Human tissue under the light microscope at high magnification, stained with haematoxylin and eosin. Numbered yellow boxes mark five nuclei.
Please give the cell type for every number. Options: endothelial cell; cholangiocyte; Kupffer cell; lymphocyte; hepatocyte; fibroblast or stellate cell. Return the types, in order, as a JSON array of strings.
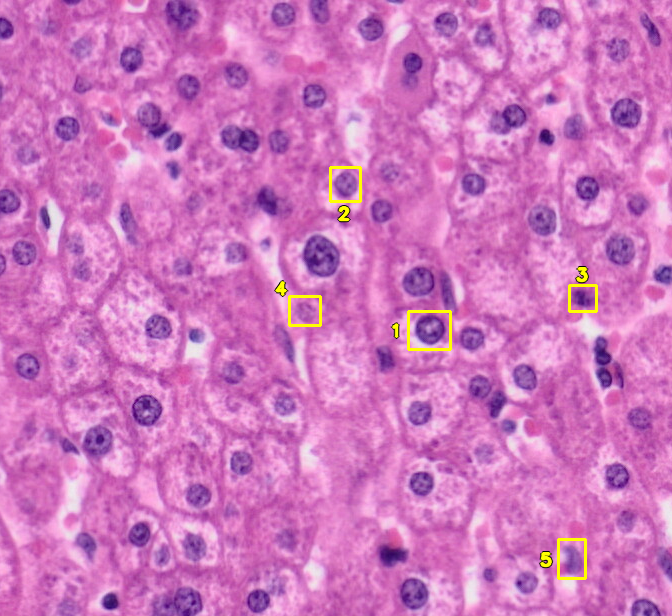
["hepatocyte", "hepatocyte", "fibroblast or stellate cell", "hepatocyte", "endothelial cell"]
